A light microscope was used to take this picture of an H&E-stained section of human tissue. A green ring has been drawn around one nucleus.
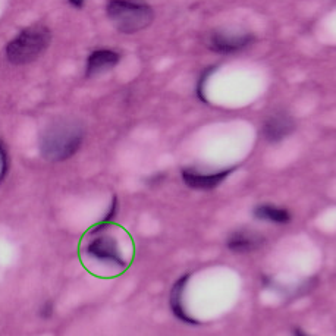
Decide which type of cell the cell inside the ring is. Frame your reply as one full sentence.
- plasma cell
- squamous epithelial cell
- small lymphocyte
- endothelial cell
In this tissue sample, the cell inside the ring is a squamous epithelial cell.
